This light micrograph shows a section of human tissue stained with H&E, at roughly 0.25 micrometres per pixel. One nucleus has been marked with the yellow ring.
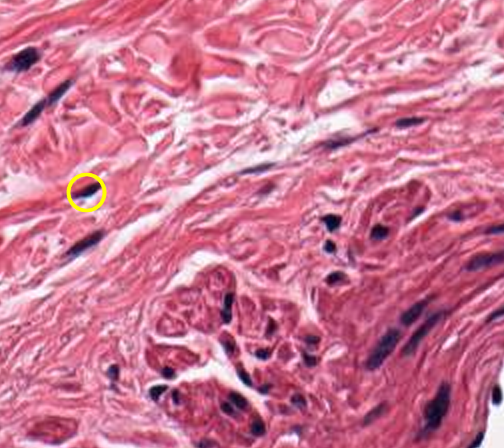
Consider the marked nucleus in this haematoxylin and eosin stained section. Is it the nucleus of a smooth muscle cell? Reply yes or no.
no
